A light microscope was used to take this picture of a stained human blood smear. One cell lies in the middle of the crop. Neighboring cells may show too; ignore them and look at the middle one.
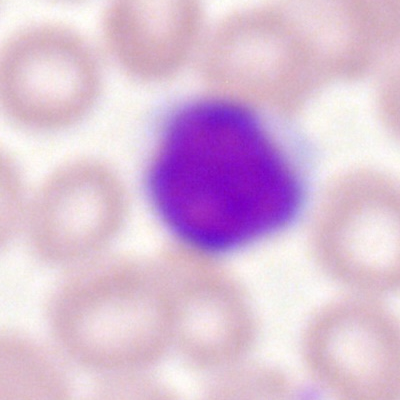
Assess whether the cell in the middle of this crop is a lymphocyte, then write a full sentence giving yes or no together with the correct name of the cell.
Yes, the crop's central cell is a lymphocyte.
